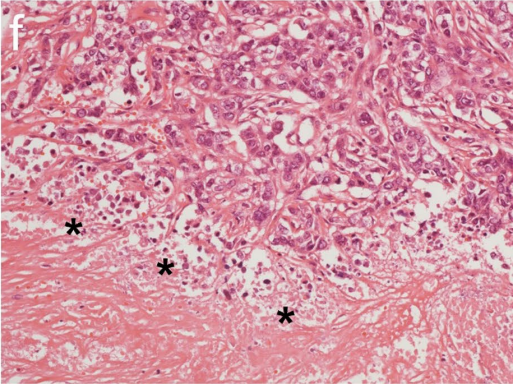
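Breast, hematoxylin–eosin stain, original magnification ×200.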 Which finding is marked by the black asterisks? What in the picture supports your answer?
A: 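The asterisks mark a pale, loose zone with scattered shrunken and fragmented dark nuclei. This zone lies between viable tumor cells above and pink stroma below. The answer: tumor necrosis.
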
